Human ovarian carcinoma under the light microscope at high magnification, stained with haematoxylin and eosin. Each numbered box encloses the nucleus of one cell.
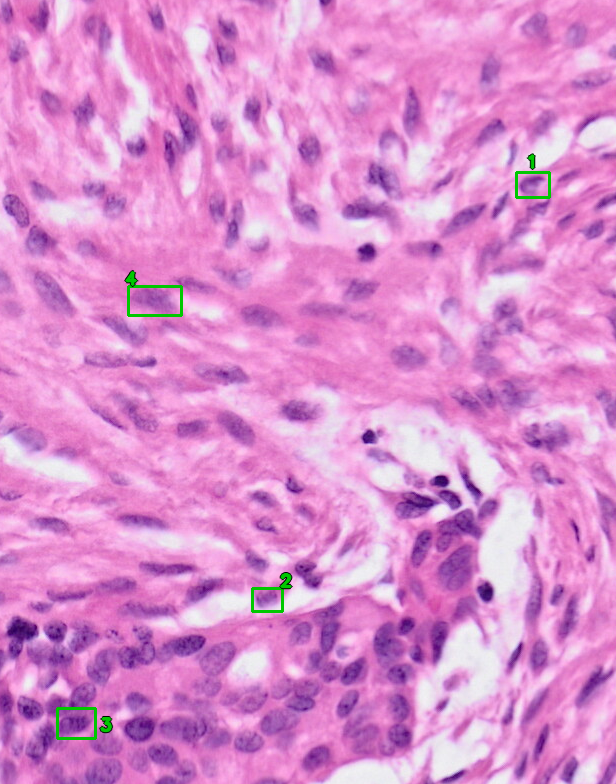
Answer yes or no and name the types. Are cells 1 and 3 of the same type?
No, cell 1 is a fibroblast and cell 3 is a carcinoma cell.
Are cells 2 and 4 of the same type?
Yes, both are fibroblasts.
